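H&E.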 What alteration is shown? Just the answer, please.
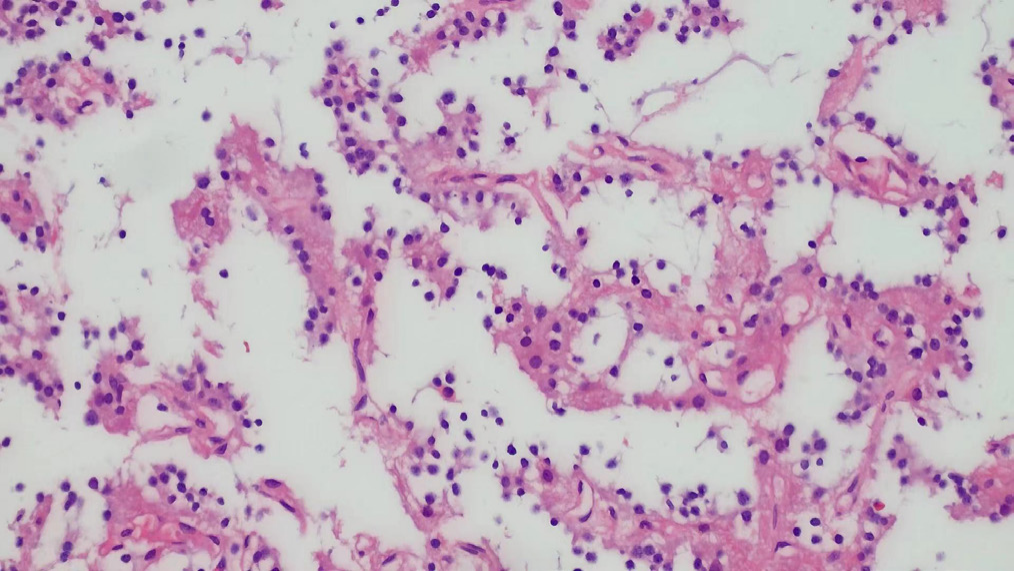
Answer: An oligodendritic pattern.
